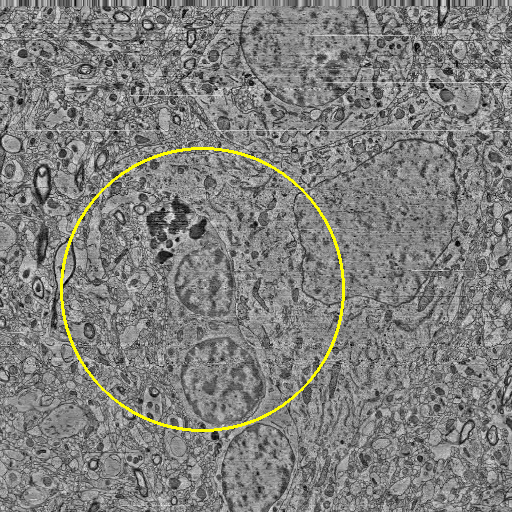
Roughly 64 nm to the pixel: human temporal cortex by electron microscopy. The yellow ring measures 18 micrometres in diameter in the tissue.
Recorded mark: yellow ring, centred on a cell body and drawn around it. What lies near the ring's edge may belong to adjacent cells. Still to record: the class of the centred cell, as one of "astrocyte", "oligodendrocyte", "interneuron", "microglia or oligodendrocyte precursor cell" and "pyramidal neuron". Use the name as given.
oligodendrocyte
